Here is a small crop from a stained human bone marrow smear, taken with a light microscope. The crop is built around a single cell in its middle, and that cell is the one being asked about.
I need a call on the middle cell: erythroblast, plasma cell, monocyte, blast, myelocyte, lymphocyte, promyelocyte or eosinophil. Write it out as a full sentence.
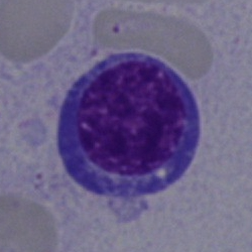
The cell under consideration, at the middle of the crop, is an erythroblast.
